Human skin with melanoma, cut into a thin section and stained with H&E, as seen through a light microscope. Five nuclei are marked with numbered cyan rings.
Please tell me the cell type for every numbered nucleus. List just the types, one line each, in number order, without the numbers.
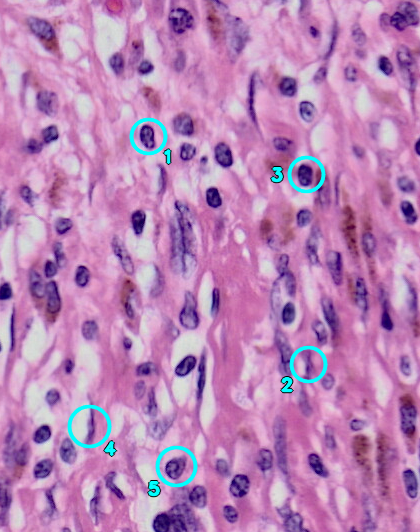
lymphocyte
fibroblast or myofibroblast
lymphocyte
fibroblast or myofibroblast
lymphocyte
